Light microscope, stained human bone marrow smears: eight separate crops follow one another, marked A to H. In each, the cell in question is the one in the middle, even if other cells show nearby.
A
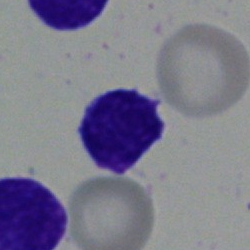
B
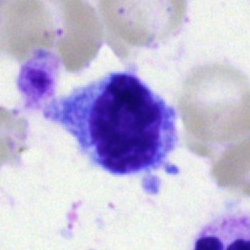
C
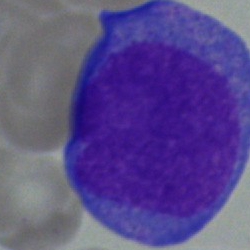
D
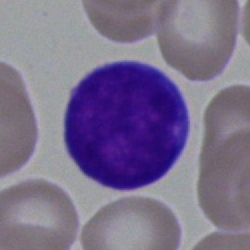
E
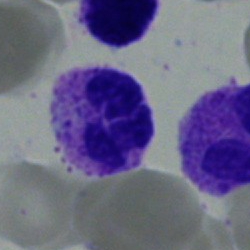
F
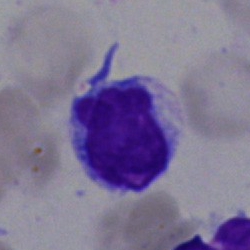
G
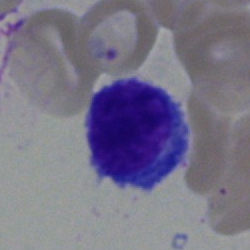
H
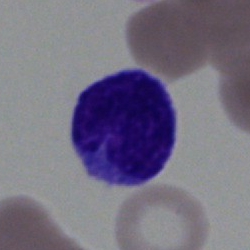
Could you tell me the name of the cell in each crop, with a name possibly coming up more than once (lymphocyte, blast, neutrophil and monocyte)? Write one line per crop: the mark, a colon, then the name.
A: lymphocyte
B: monocyte
C: blast
D: blast
E: neutrophil
F: lymphocyte
G: lymphocyte
H: lymphocyte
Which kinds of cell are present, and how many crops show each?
lymphocyte: 4
blast: 2
monocyte: 1
neutrophil: 1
